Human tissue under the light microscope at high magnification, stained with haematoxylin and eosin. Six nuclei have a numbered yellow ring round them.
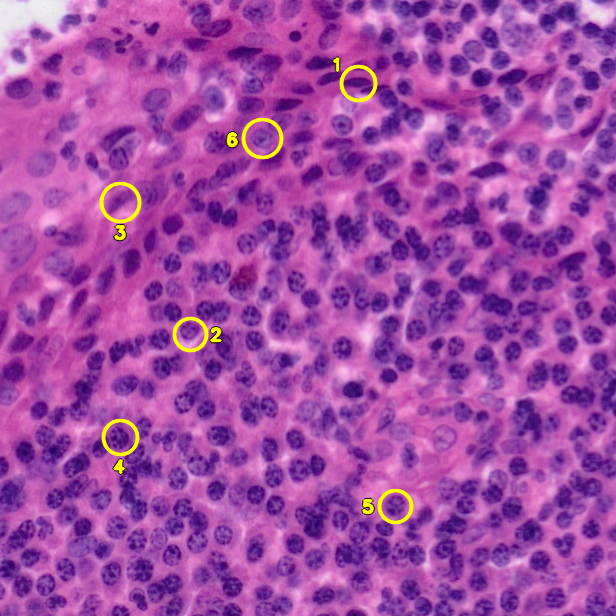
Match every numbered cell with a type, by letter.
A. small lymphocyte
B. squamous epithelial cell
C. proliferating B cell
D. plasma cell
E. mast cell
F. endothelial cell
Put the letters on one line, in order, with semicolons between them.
B; D; B; D; D; B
